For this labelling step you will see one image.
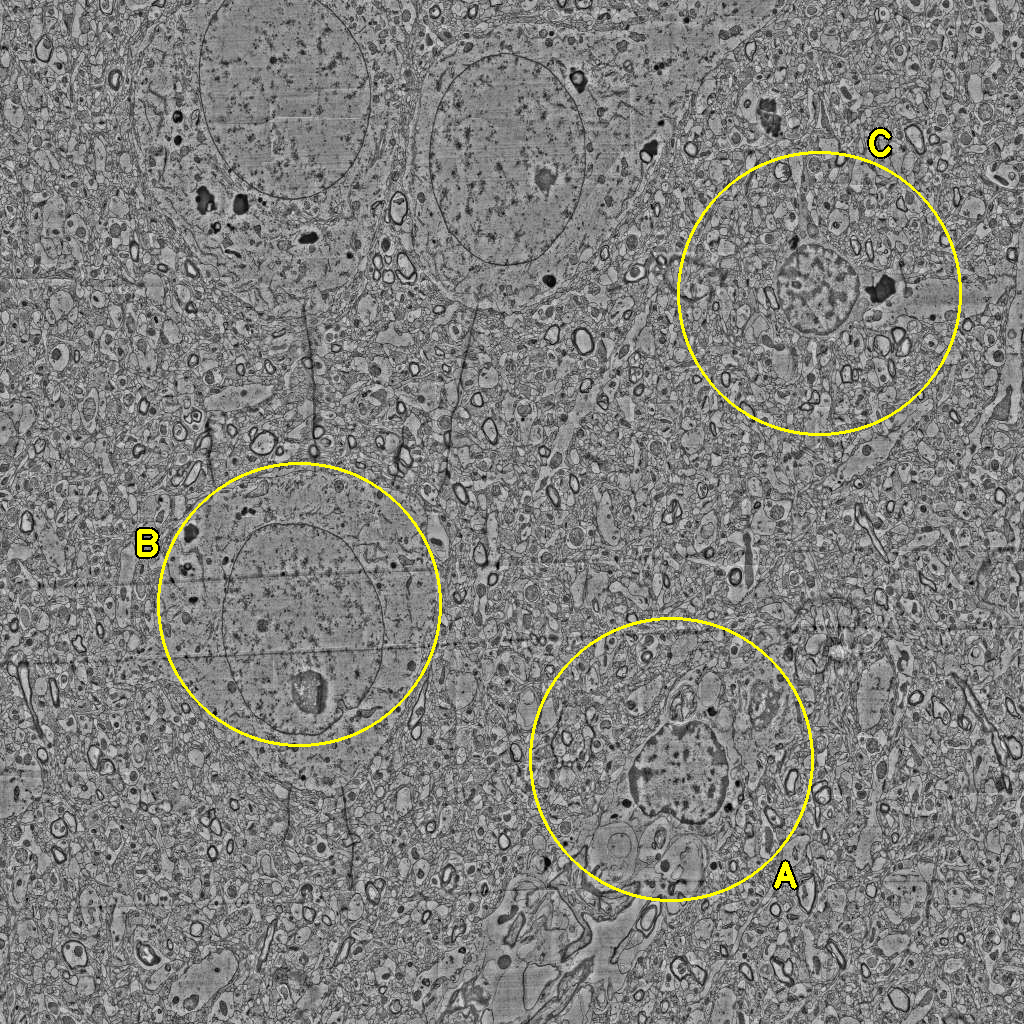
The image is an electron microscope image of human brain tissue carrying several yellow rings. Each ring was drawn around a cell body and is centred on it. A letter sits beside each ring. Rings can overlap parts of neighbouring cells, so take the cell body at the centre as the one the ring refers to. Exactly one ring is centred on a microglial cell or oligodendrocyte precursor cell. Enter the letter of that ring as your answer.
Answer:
A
